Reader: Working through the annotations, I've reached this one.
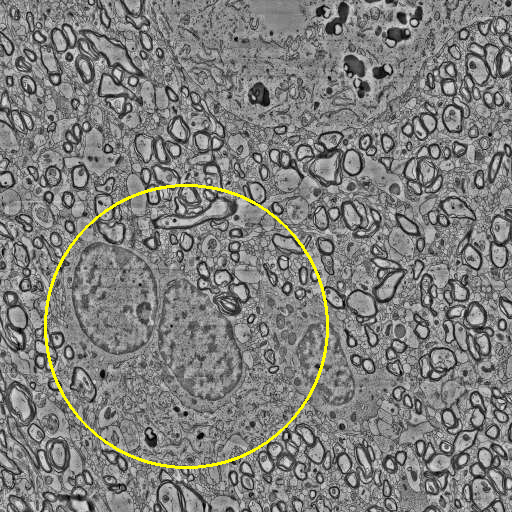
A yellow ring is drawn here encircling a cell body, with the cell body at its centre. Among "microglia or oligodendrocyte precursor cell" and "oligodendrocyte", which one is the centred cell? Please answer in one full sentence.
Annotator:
The cell body at the centre of the yellow ring in this image belongs to an oligodendrocyte.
